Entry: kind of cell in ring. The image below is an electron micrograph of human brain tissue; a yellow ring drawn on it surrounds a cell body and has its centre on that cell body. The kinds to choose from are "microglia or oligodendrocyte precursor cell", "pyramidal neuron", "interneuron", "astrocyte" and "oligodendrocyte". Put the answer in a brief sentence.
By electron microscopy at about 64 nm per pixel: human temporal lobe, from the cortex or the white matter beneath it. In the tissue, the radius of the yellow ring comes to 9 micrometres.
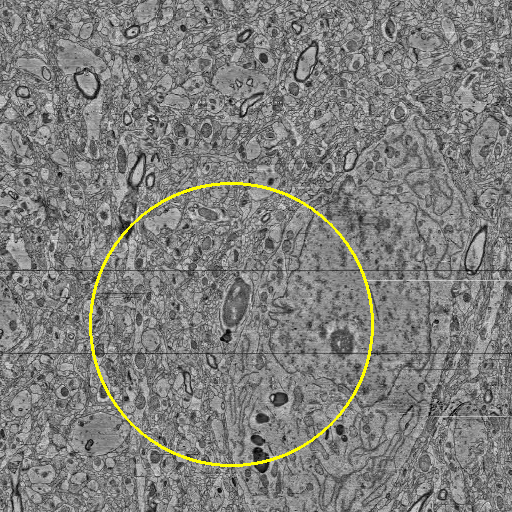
The ring has been drawn around a microglial cell or oligodendrocyte precursor cell.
